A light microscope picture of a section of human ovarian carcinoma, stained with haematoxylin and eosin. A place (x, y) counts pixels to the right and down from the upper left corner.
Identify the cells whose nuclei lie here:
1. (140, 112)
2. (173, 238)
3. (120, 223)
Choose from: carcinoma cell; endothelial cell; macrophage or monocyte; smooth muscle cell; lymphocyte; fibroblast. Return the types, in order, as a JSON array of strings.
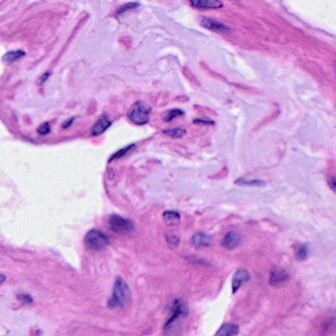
["endothelial cell", "smooth muscle cell", "endothelial cell"]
